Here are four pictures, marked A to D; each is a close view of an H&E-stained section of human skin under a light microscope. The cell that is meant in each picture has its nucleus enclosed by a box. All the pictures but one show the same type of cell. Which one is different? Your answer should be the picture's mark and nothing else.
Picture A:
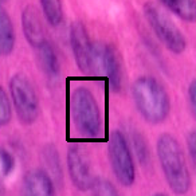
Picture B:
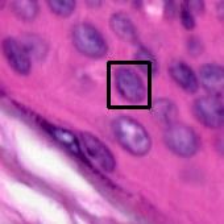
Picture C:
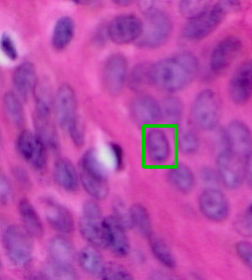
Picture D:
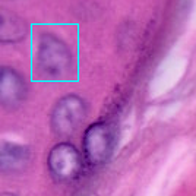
C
